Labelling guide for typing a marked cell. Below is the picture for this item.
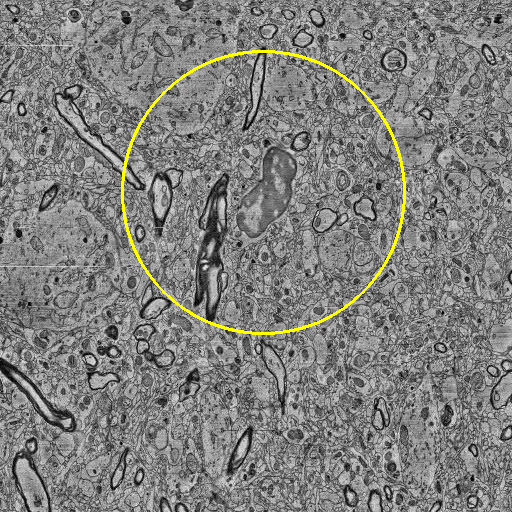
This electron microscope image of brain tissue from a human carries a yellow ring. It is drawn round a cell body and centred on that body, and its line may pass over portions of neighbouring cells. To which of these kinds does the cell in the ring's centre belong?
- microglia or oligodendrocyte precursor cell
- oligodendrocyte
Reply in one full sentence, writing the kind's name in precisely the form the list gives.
Here we have a microglial cell or oligodendrocyte precursor cell at the centre of the yellow ring in the picture.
